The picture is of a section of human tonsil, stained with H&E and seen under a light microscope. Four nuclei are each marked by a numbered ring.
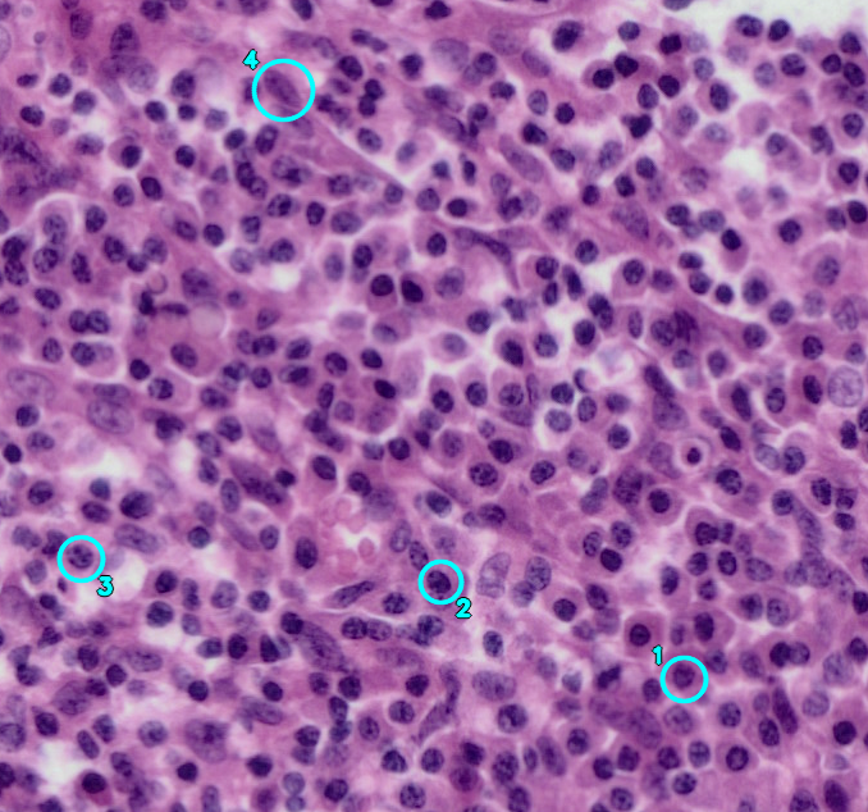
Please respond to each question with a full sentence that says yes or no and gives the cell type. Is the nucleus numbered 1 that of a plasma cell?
Yes, cell number 1 is identified here as a plasma cell.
